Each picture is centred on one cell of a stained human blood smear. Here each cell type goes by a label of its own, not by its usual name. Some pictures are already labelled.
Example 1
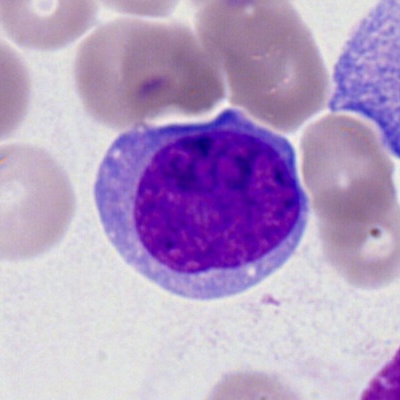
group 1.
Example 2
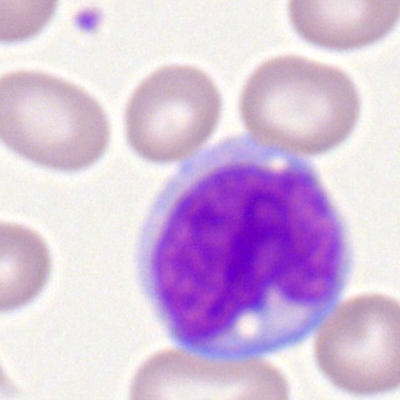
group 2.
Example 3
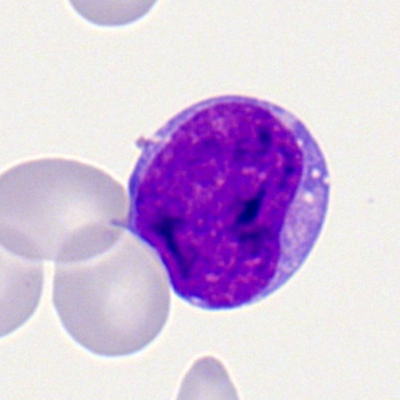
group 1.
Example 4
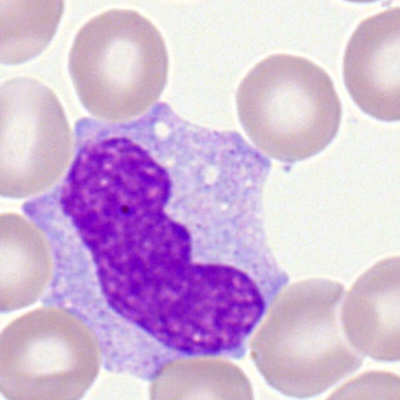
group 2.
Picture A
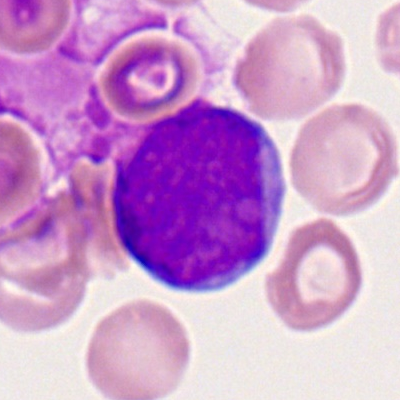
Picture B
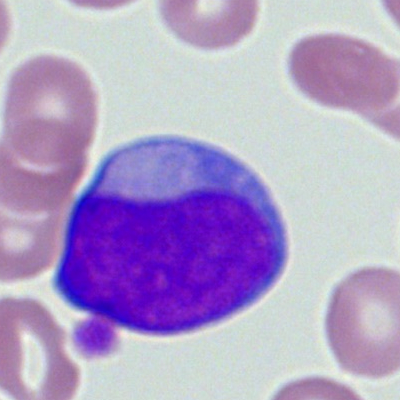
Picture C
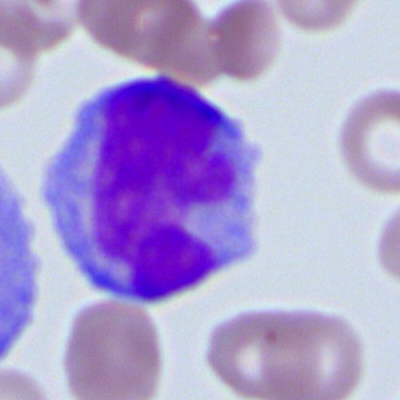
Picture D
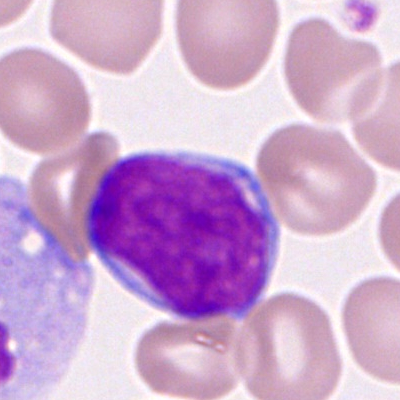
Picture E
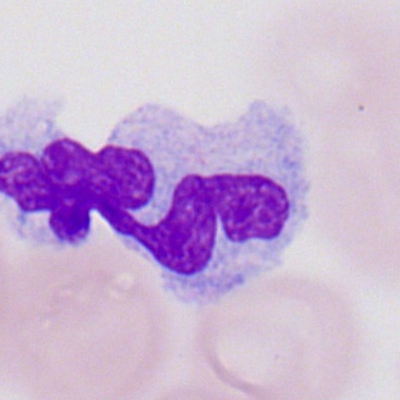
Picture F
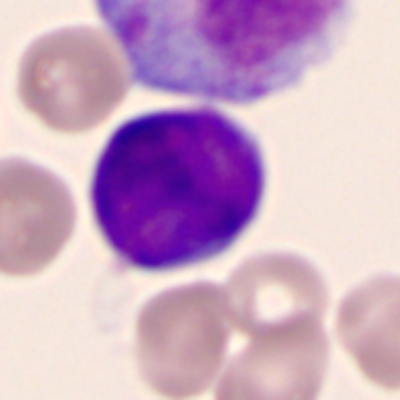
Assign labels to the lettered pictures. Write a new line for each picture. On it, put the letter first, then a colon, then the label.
A: group 1.
B: group 1.
C: group 2.
D: group 1.
E: group 2.
F: group 1.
